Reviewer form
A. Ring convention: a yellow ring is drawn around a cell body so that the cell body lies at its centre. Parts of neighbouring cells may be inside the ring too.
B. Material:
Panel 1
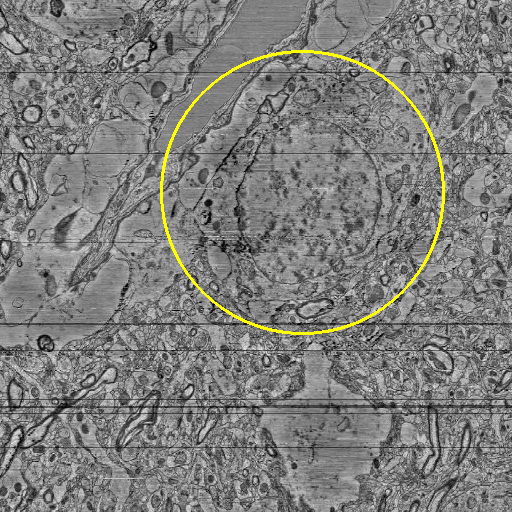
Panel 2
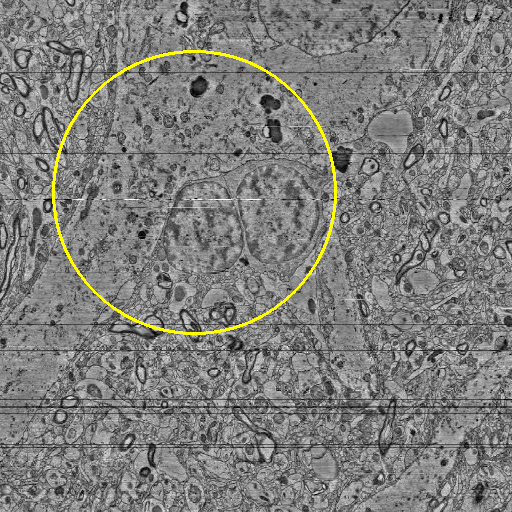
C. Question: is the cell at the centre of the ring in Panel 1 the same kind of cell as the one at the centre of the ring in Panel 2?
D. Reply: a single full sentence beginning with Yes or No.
No, the cells in Panel 1 and Panel 2 are two kinds of cell.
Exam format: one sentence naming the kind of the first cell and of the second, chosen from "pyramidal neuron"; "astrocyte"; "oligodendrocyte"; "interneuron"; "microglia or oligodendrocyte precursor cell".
The first picture's cell is a pyramidal neuron, and the second picture's cell is an oligodendrocyte.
